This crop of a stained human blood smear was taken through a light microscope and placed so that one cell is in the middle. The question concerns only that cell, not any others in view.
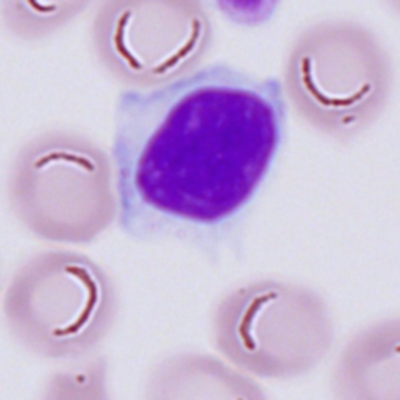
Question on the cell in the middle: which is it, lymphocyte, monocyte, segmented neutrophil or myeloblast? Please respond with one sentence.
The cell around which this crop is centred is a lymphocyte.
